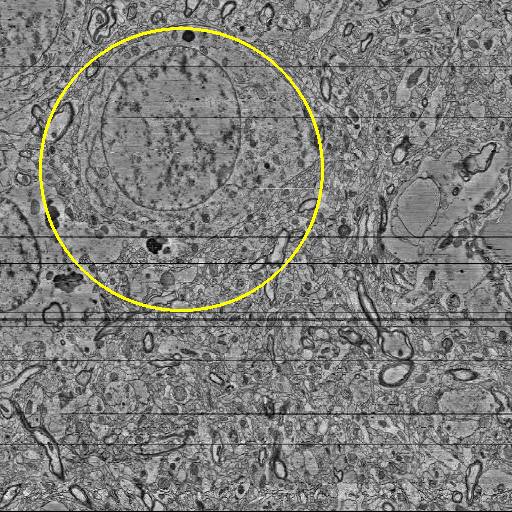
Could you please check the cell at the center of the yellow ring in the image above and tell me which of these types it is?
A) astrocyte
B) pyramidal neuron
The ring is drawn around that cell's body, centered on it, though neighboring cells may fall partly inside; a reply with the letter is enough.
B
